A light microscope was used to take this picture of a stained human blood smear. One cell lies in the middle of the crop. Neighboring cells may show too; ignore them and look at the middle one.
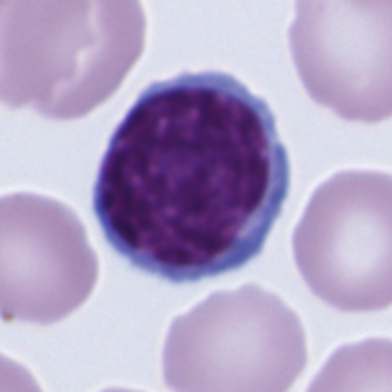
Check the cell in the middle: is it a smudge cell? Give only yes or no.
no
